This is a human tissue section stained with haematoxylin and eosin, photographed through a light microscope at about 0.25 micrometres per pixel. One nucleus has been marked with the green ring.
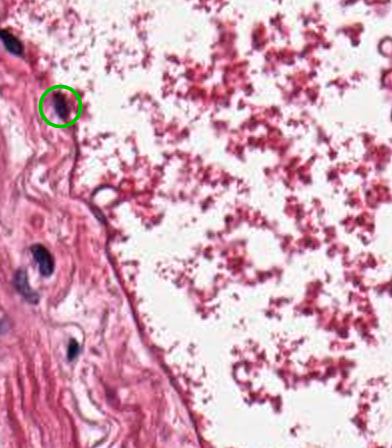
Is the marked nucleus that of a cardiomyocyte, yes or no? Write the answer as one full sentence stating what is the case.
No, the marked nucleus belongs to a supporting cell, not to a cardiomyocyte.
